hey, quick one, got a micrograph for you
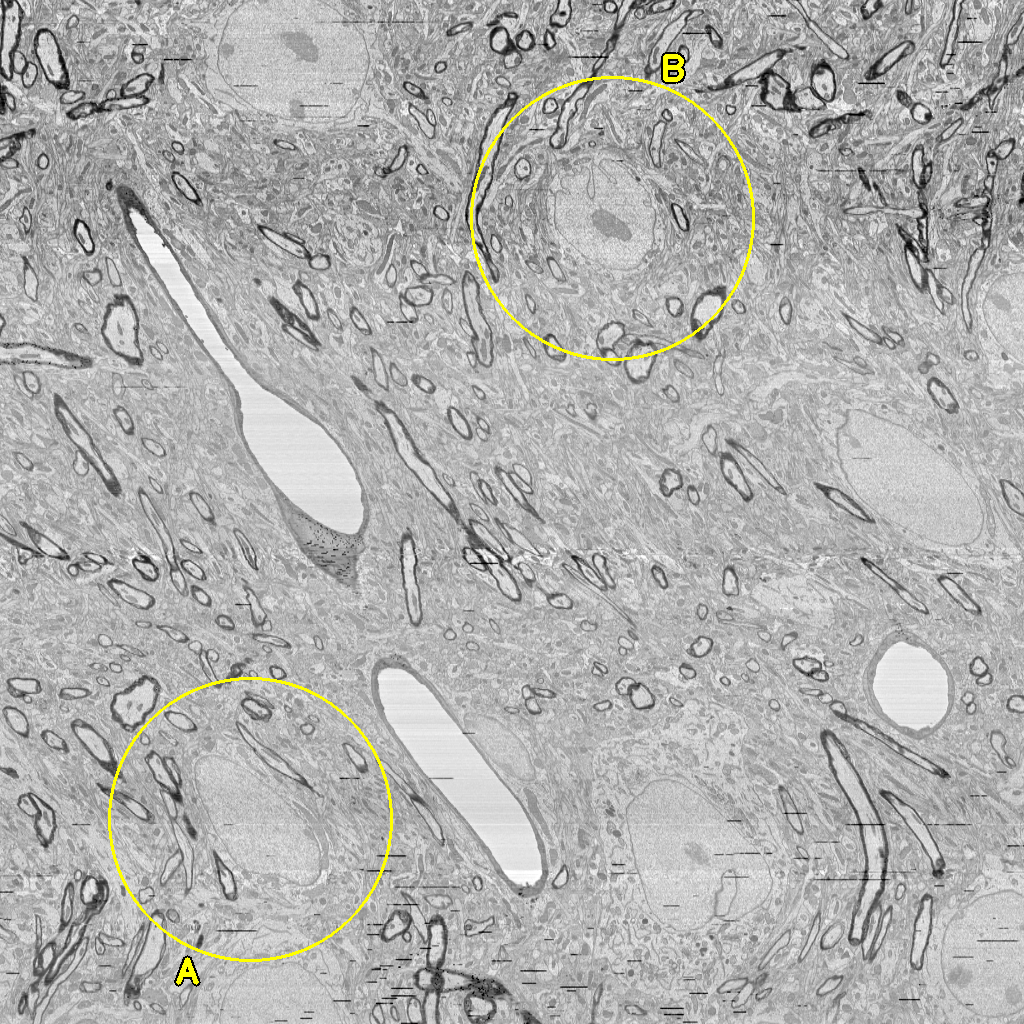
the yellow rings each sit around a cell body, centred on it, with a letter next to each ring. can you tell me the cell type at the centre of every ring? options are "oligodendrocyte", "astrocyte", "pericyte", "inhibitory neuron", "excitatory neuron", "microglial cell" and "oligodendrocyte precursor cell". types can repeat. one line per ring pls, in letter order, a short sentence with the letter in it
Ring A goes around an astrocyte.
Ring B goes around an inhibitory neuron.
